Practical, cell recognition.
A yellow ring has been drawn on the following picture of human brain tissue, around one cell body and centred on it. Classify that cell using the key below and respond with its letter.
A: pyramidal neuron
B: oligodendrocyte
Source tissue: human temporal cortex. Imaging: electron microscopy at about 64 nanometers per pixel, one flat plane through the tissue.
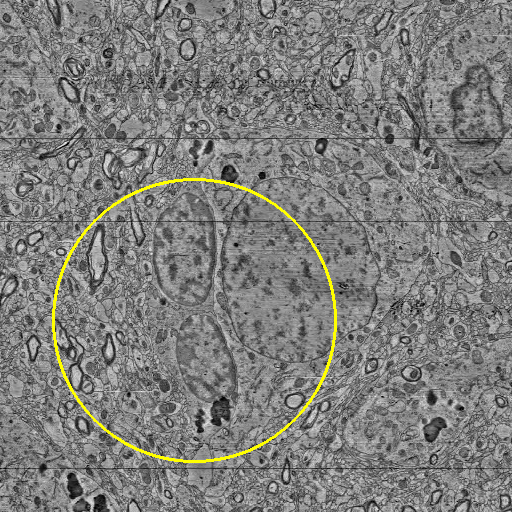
B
